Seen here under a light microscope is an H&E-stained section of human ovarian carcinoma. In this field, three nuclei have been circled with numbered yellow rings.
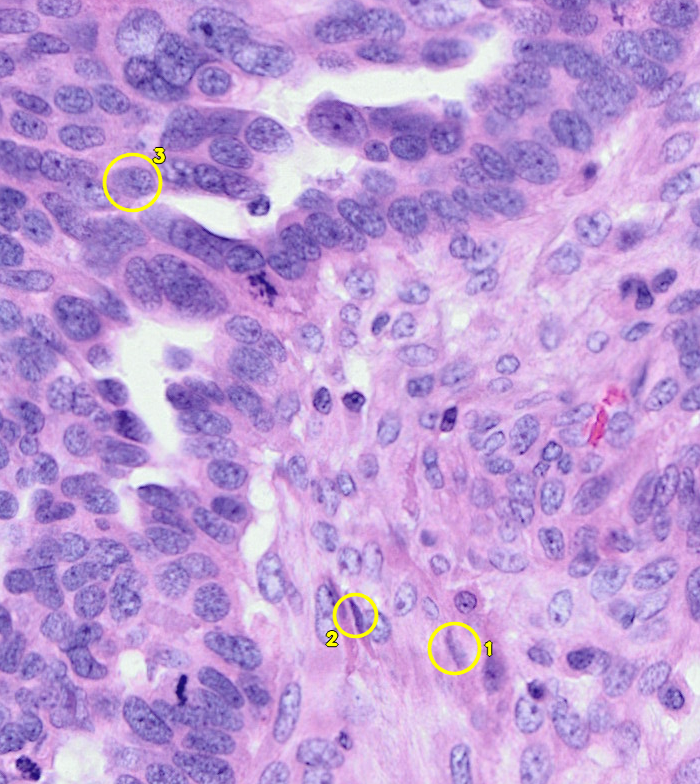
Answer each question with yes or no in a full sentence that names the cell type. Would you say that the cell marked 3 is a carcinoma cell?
Yes, the cell identified as number 3 is a carcinoma cell.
